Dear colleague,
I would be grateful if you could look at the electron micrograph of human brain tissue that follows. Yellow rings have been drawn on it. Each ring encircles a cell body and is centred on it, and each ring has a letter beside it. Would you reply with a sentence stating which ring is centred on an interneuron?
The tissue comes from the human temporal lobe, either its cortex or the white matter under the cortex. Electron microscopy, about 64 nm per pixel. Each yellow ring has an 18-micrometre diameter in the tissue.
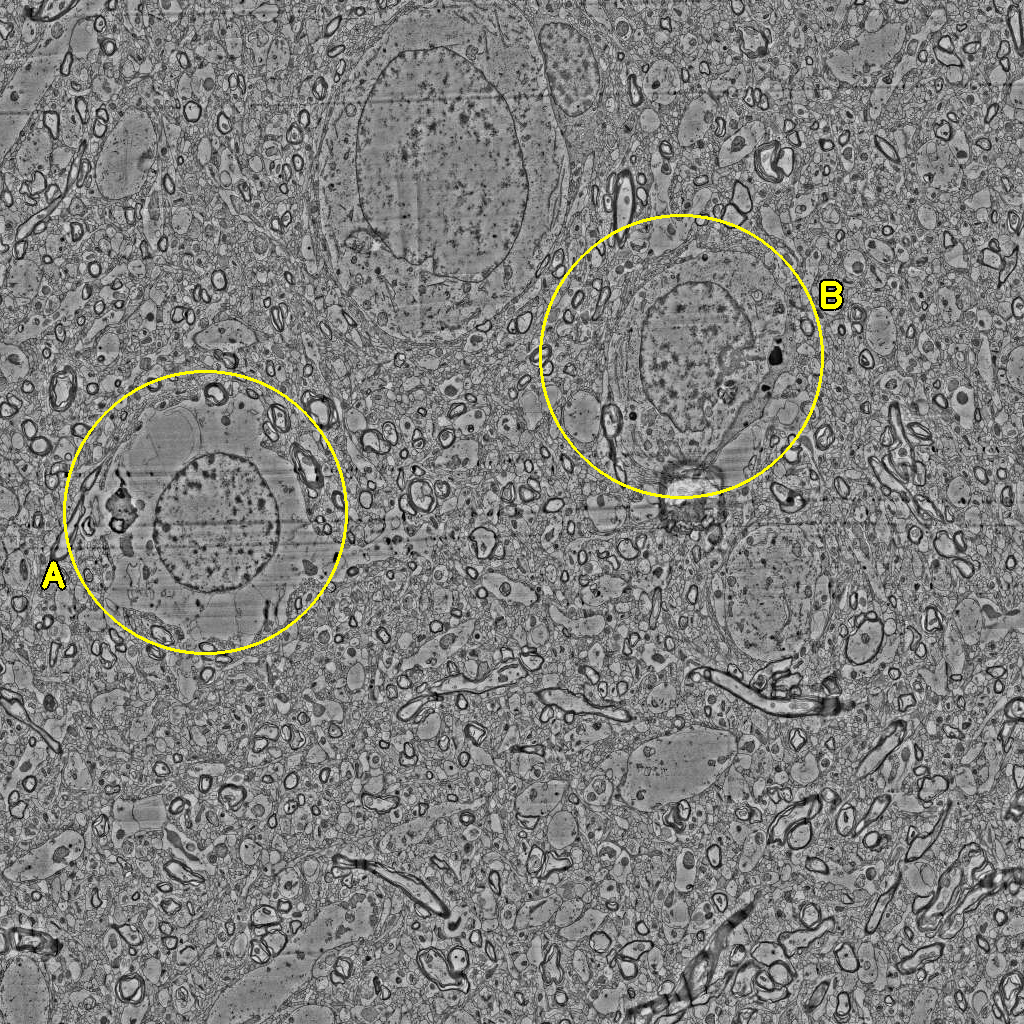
The ring centred on it is ring B.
